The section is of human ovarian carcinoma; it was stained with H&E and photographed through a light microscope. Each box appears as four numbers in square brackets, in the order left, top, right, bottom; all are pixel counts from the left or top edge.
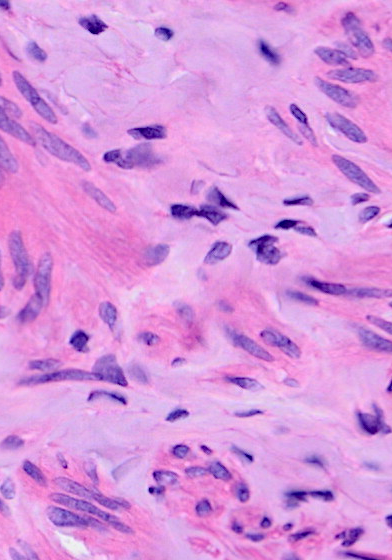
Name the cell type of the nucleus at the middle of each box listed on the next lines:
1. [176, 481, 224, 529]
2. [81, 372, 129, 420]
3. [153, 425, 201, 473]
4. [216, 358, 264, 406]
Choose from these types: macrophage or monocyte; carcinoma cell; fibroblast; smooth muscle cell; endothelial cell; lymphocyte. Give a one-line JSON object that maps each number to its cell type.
{"1": "smooth muscle cell", "2": "fibroblast", "3": "smooth muscle cell", "4": "smooth muscle cell"}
